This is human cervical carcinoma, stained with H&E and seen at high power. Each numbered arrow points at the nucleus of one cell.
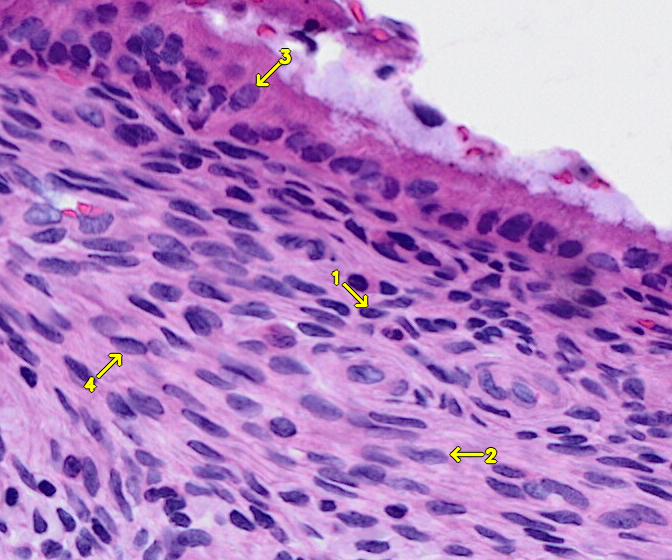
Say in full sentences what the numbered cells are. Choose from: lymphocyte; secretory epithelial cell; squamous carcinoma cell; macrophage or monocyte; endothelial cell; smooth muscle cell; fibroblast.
Cells 1, 2 and 4 are fibroblasts. Cell 3 is a secretory epithelial cell.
